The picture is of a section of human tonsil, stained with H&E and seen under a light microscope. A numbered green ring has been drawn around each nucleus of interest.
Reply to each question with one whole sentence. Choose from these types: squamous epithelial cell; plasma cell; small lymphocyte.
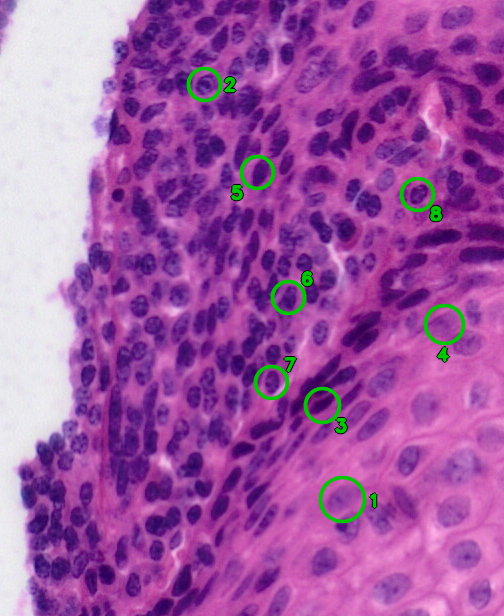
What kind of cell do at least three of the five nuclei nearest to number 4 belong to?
Most of the five nuclei nearest to number 4 are those of squamous epithelial cells.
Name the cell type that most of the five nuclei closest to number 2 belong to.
Squamous epithelial cells make up most of the five nuclei closest to number 2.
